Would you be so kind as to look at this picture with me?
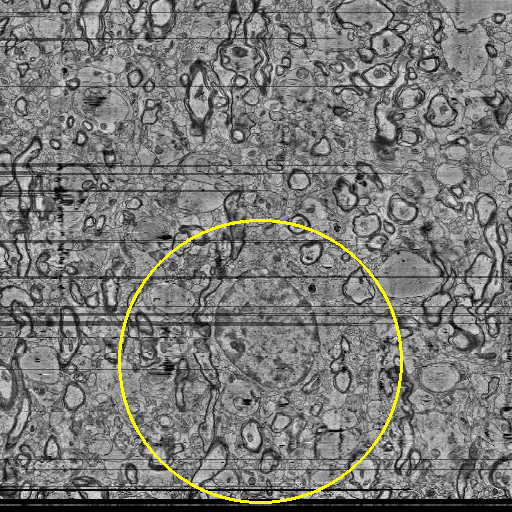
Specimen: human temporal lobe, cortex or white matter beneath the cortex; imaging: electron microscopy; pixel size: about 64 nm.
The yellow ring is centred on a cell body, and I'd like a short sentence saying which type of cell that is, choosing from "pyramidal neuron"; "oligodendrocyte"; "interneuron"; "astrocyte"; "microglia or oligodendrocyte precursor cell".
The cell body in the ring belongs to an oligodendrocyte.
